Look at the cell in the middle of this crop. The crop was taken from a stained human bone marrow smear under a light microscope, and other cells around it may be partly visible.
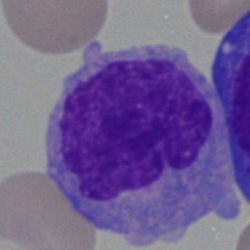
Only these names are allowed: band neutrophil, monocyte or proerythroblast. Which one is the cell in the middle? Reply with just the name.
monocyte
